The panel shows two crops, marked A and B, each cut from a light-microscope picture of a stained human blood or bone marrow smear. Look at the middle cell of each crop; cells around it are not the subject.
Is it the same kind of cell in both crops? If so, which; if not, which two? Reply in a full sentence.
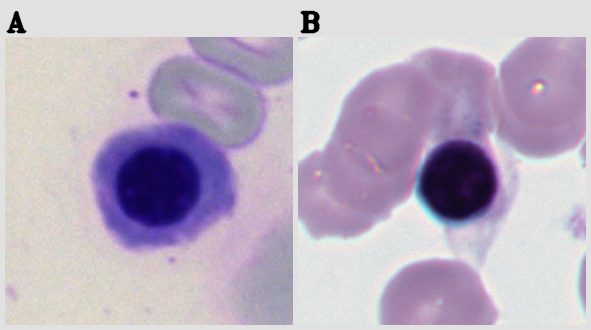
Yes, both crops show erythroblasts in the centre of the field.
